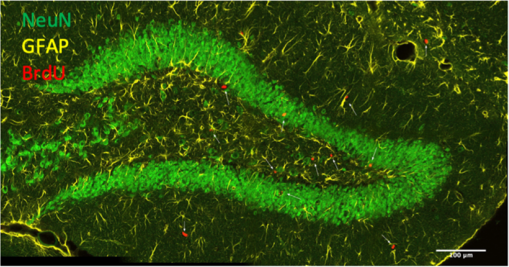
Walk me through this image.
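The dentate gyrus shows a thick, tightly packed green layer of rounded cell bodies curving into two blades. Yellow star-shaped cells with fine branching processes are scattered through the surrounding tissue and the region between the blades, and a few small red nuclei lie near or within the inner edge of the green layer and in the surrounding tissue.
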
